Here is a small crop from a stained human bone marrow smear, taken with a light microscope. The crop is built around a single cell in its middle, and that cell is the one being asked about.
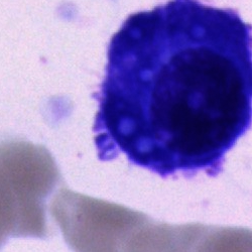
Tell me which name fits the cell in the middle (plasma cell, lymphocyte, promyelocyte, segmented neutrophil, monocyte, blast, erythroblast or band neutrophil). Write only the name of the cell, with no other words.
plasma cell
